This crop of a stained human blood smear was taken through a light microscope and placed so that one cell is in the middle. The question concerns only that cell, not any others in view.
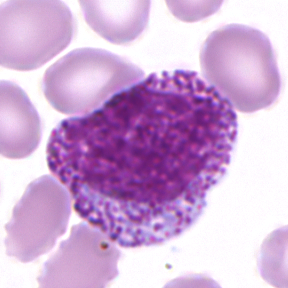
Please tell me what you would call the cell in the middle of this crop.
myelocyte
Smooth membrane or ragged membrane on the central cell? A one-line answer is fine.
The cell shows an uneven border, formed by ragged areas or by outward projections.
